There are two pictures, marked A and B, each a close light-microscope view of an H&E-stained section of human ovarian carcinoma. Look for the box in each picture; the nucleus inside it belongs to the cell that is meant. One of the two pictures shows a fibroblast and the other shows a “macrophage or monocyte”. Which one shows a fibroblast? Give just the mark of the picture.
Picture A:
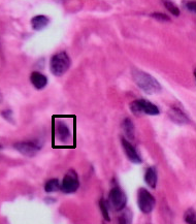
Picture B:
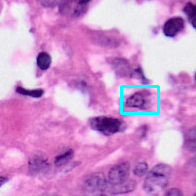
A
